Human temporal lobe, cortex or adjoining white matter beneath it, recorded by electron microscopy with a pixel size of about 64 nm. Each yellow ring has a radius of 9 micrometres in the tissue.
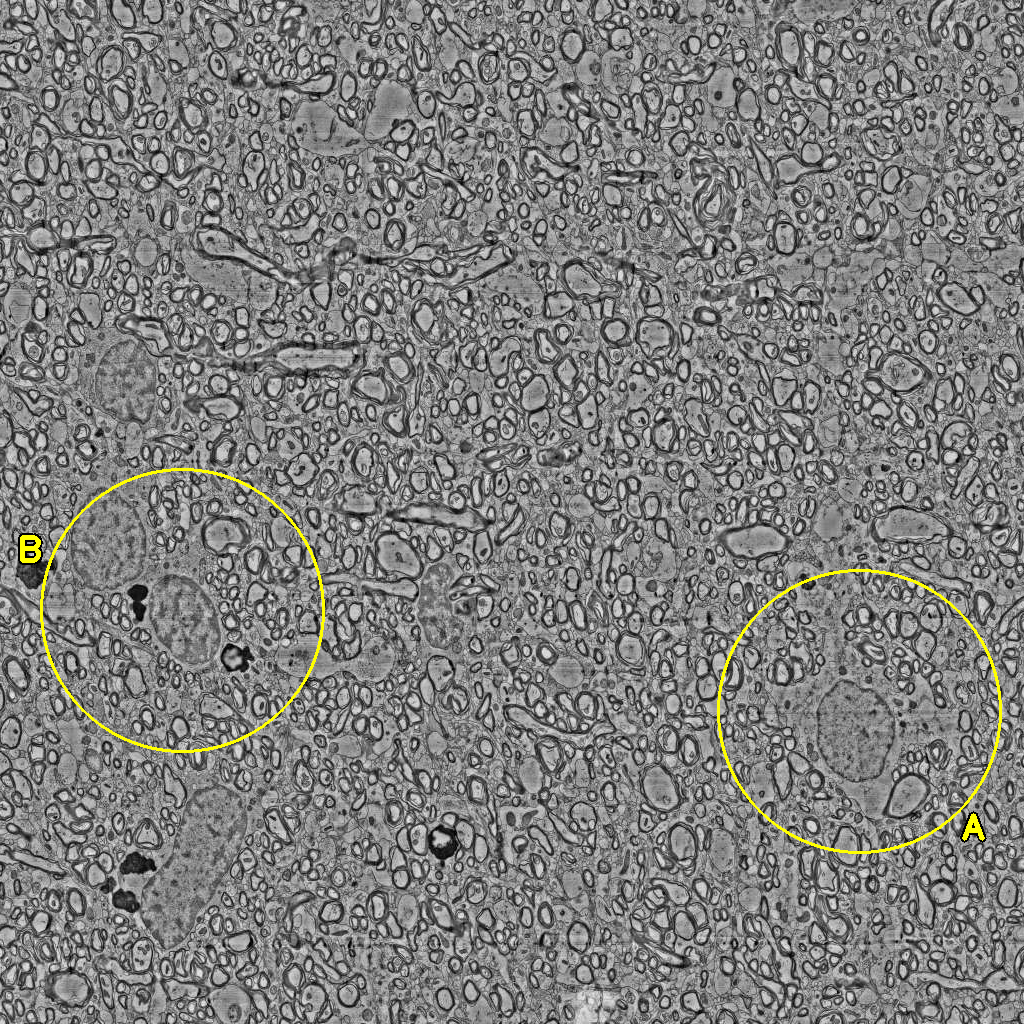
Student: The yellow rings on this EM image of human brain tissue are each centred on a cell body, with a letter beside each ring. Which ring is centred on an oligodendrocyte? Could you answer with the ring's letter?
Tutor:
B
